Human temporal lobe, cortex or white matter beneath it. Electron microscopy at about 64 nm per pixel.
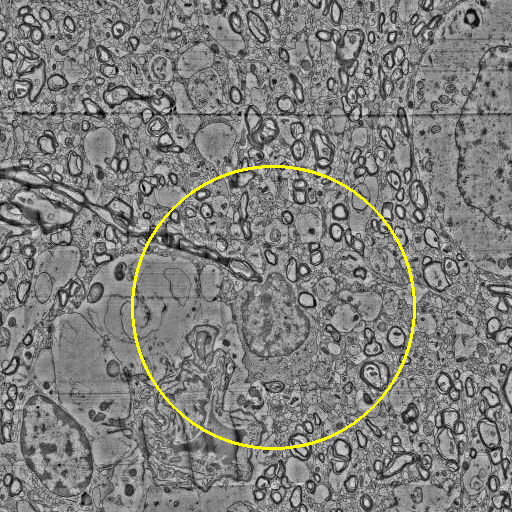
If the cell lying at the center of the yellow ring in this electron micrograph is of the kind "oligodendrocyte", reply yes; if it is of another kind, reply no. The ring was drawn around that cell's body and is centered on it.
yes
